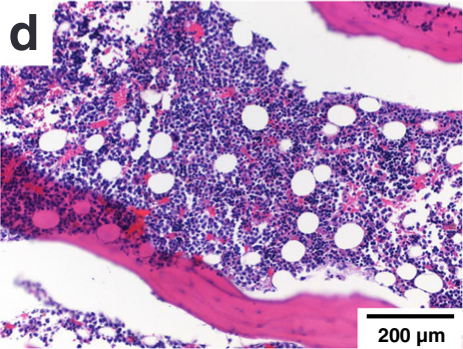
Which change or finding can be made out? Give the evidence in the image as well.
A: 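Pink bony trabeculae border the marrow space. The marrow space is densely packed with cells. Only scattered small fat vacuoles remain between the cells.
Conclusion: Hypercellular bone marrow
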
